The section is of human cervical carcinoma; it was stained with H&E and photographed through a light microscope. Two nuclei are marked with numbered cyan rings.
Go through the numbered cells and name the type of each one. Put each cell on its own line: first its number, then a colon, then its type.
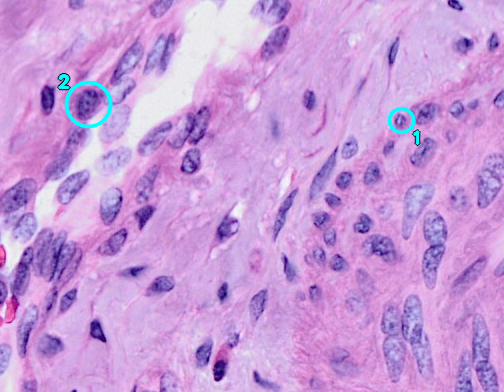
1: smooth muscle cell
2: endothelial cell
